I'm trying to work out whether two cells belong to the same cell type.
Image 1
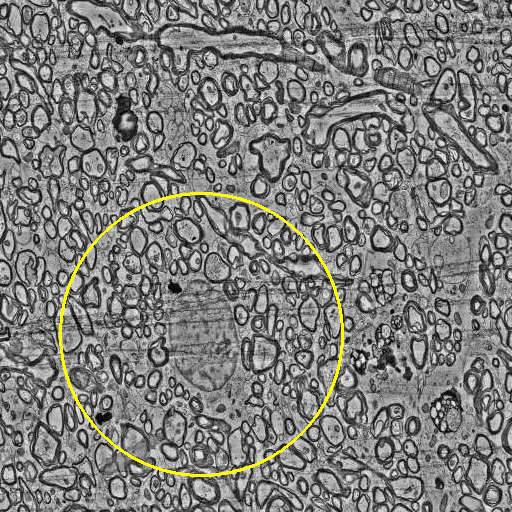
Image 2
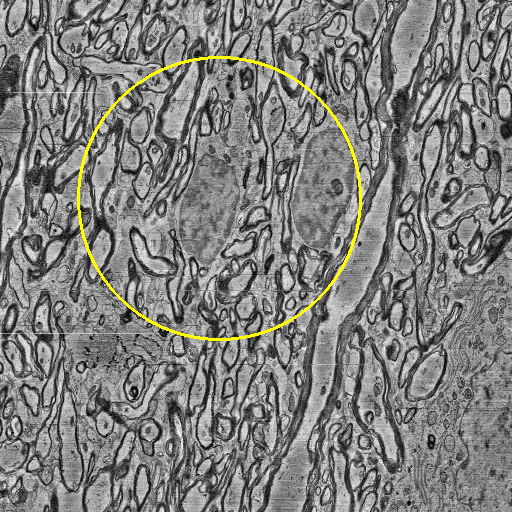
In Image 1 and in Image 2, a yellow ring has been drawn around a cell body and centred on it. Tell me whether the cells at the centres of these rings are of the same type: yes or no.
yes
